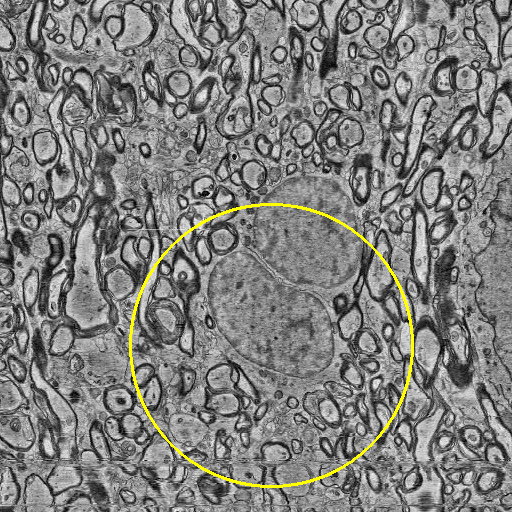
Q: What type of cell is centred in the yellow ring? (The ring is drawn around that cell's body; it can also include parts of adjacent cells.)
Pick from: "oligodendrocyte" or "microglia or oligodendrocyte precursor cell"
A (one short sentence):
The yellow ring is centred on an oligodendrocyte.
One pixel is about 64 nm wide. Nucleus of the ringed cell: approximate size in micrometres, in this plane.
In this plane the nucleus measures roughly 10 by 7 micrometers.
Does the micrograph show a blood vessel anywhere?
No, none is visible.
